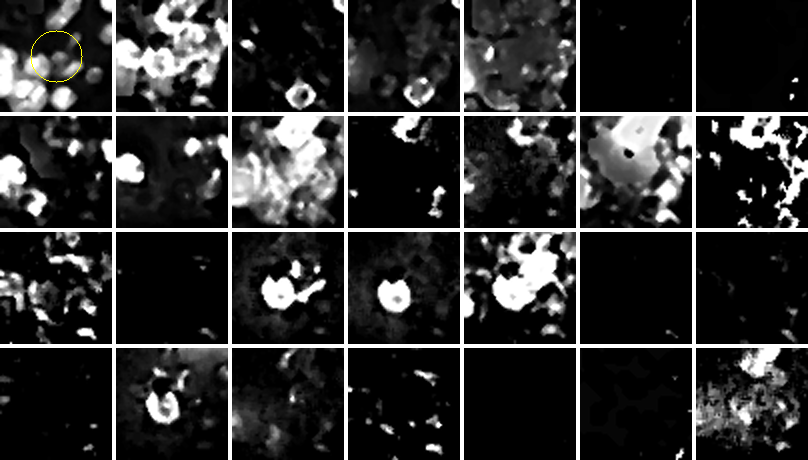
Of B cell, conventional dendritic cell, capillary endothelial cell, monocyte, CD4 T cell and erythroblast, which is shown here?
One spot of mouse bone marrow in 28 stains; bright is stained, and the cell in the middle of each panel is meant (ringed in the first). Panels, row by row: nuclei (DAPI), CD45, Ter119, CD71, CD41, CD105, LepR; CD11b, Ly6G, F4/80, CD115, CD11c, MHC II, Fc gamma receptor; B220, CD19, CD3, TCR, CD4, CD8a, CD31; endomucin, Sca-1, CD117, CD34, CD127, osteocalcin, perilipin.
CD4 T cell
